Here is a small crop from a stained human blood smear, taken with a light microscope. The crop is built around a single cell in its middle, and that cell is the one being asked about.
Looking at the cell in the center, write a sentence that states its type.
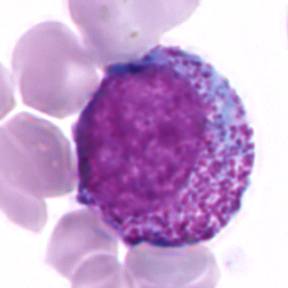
The centrally located cell in the crop is a promyelocyte.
